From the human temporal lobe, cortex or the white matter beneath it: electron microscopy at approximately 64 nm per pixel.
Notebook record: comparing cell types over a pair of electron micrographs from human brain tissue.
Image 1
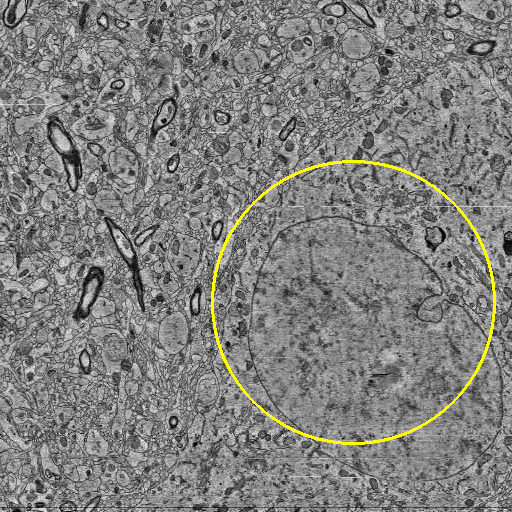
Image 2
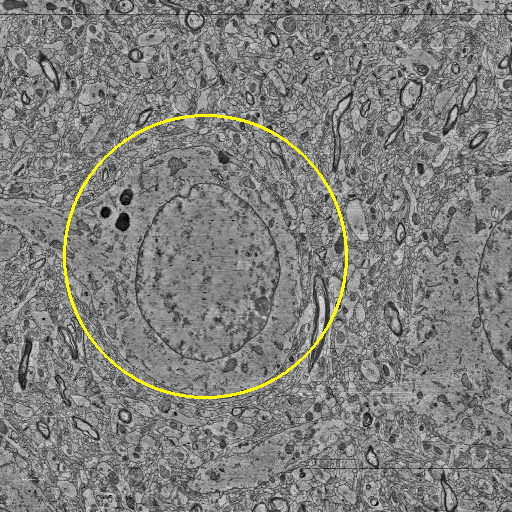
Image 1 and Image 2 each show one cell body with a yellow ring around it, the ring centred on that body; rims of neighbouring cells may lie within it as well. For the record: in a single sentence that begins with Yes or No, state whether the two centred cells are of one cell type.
Yes, one cell type is shared by the centred cells of Image 1 and Image 2.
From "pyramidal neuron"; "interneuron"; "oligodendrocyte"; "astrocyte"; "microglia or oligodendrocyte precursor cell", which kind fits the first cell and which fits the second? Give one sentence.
Each of the ringed cells, first and second, is a pyramidal neuron.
